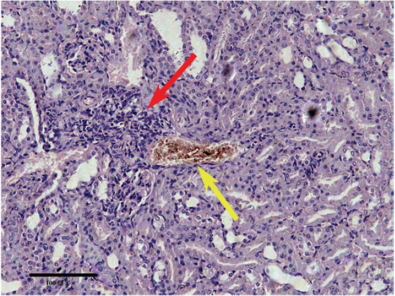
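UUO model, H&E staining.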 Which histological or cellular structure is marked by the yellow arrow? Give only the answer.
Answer: renal vessels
